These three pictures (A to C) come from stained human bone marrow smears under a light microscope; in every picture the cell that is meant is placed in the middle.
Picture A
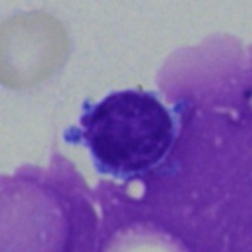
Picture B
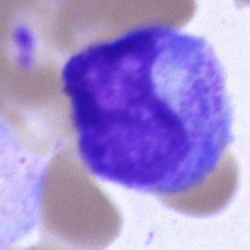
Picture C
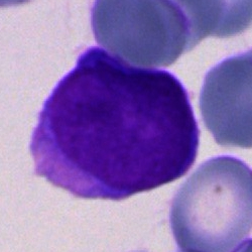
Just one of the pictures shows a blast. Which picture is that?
C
